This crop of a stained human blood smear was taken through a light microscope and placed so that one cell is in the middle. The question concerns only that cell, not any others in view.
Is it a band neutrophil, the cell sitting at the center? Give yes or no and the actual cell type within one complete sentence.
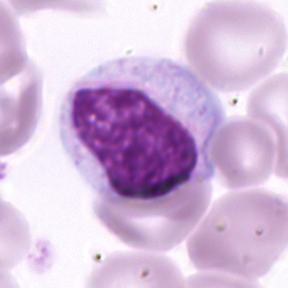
No, the cell at the centre is categorised not as a band neutrophil but as a metamyelocyte.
